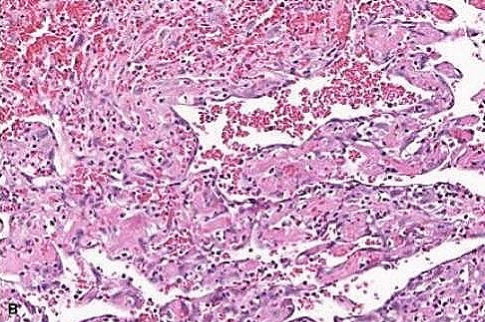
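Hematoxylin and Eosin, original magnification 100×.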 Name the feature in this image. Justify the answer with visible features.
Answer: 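Slender pink fibrous cores branch through the field. The cores are covered by a single layer of flat cells. Narrow clefts and channels separate the projections.
Papillary projections lined by endothelium.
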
